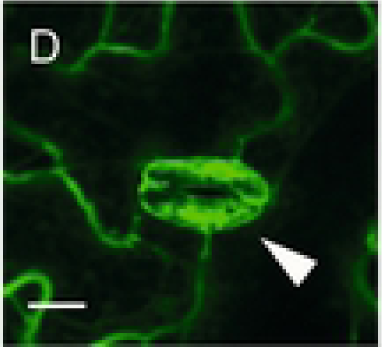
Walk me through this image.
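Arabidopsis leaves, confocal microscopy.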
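This is the leaf epidermis with jigsaw-shaped pavement cells and a stoma made of two guard cells. The pavement cells have wavy, lobed outlines drawn as thin continuous green lines. In the centre lies a stoma: two bean-shaped guard cells face each other around a dark slit-like pore. The guard cells are filled with much brighter green fluorescence than the thin outlines of the neighbouring pavement cells.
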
